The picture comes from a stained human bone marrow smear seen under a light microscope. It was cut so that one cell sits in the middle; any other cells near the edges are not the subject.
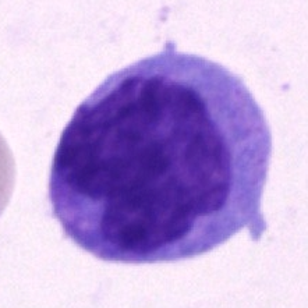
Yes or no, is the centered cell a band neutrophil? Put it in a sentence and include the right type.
No, in this crop the central cell is a monocyte instead of a band neutrophil.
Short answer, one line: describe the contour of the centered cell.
The cell margin is rough and uneven, either ragged or drawn into projections.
